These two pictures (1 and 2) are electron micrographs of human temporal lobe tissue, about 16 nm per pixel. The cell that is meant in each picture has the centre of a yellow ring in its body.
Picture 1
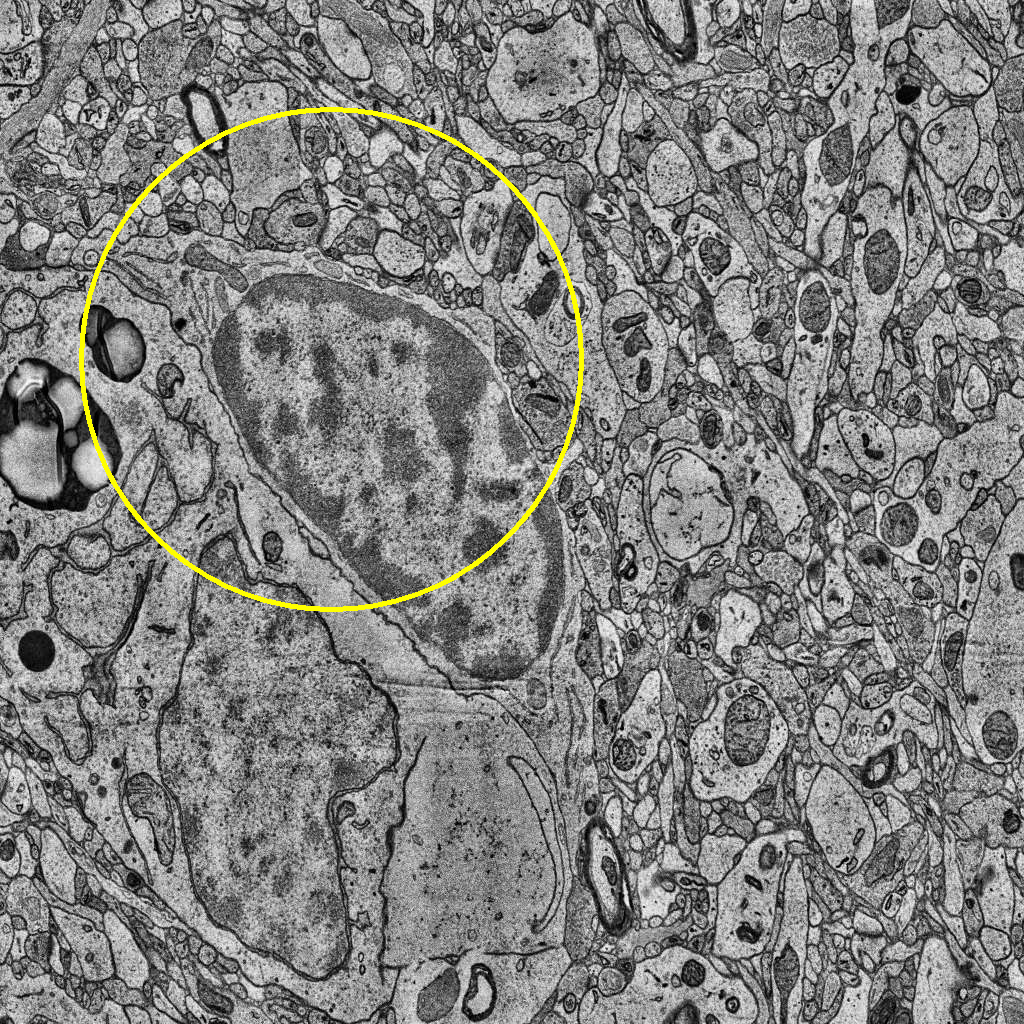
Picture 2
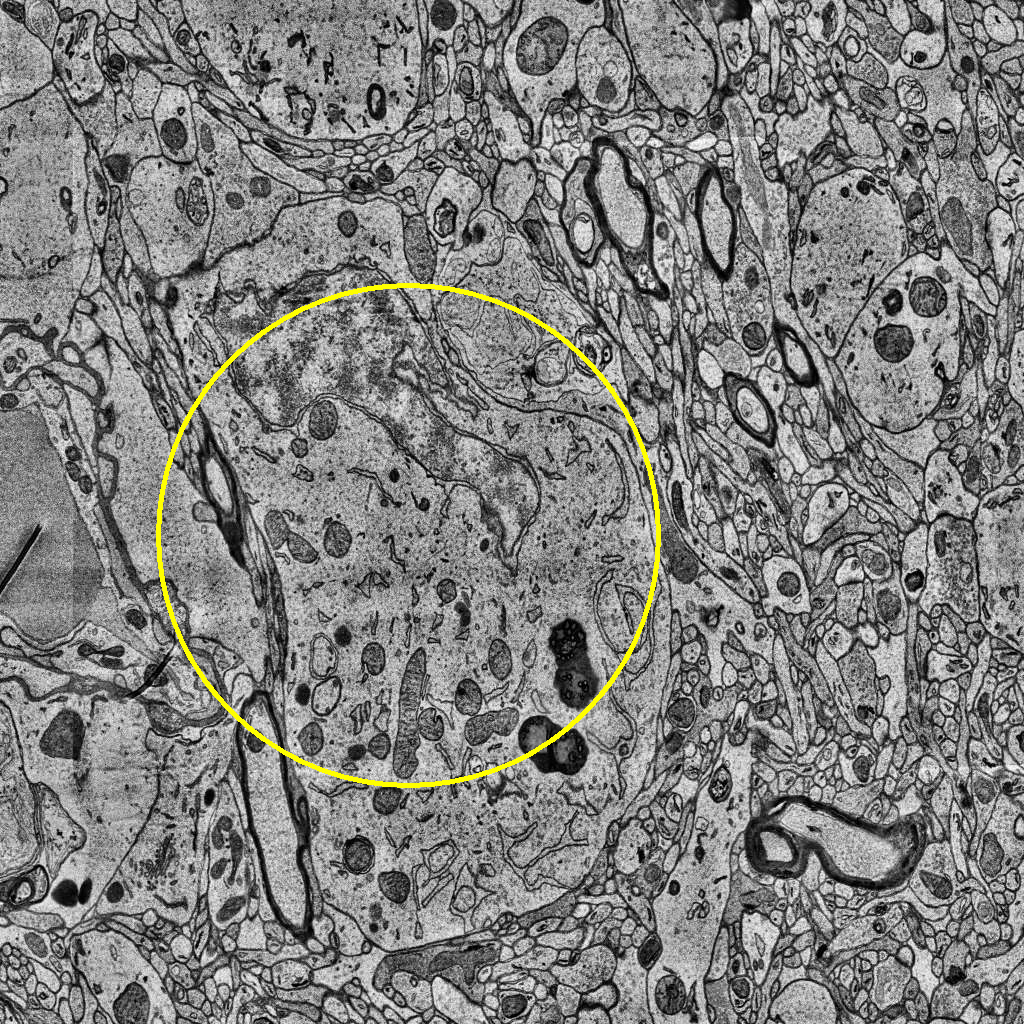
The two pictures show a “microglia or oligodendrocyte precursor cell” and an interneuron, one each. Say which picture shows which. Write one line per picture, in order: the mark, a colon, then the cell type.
1: microglia or oligodendrocyte precursor cell
2: interneuron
